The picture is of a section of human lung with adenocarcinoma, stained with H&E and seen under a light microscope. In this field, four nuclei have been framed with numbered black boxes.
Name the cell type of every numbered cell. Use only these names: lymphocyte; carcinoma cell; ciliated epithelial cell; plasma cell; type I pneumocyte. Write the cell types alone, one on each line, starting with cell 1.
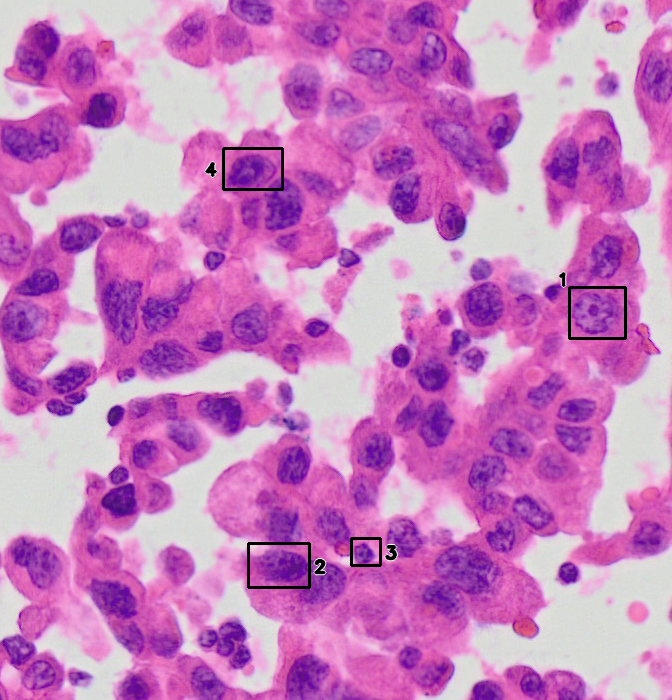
carcinoma cell
carcinoma cell
lymphocyte
carcinoma cell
